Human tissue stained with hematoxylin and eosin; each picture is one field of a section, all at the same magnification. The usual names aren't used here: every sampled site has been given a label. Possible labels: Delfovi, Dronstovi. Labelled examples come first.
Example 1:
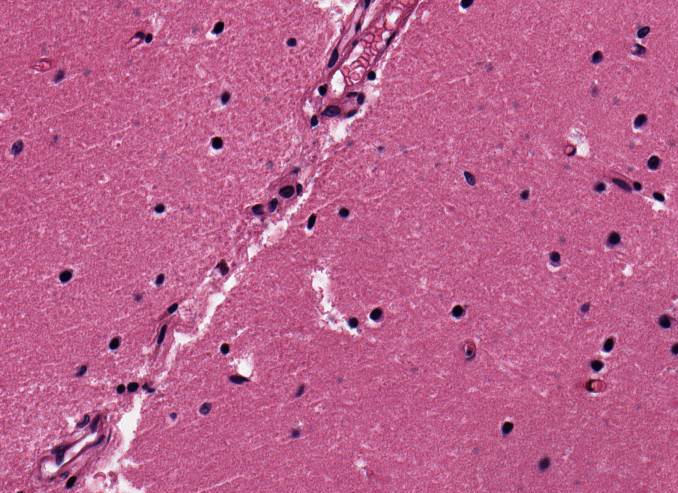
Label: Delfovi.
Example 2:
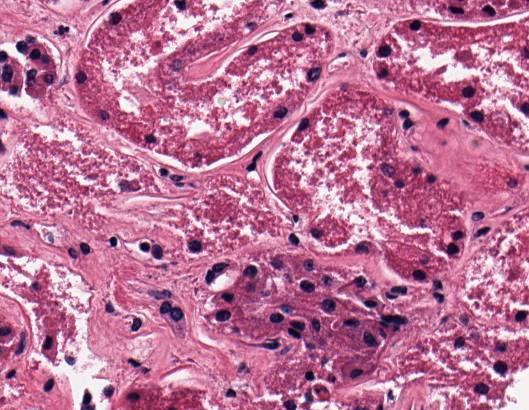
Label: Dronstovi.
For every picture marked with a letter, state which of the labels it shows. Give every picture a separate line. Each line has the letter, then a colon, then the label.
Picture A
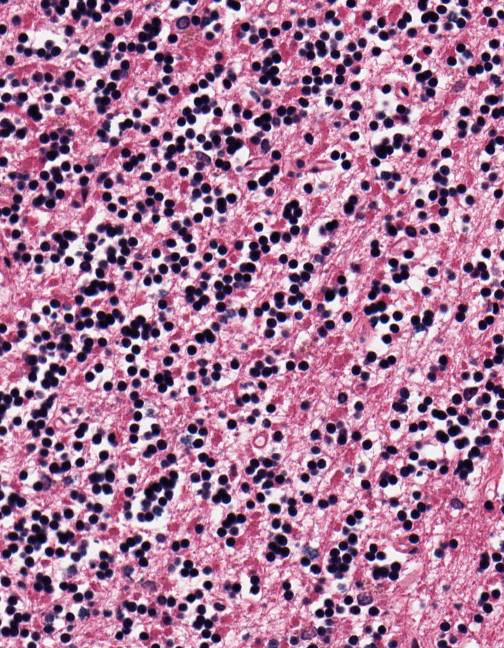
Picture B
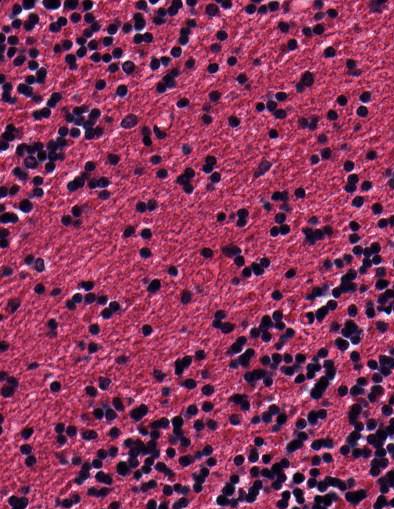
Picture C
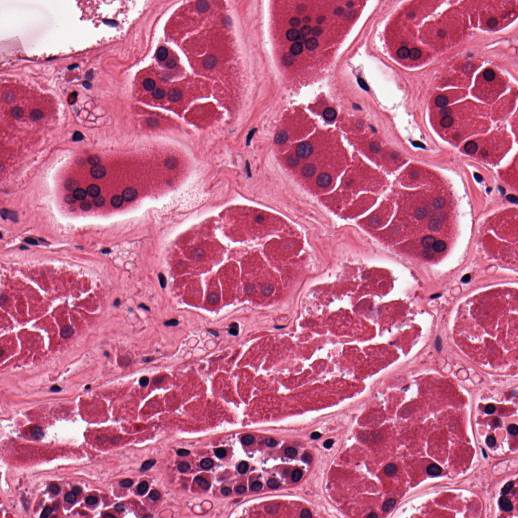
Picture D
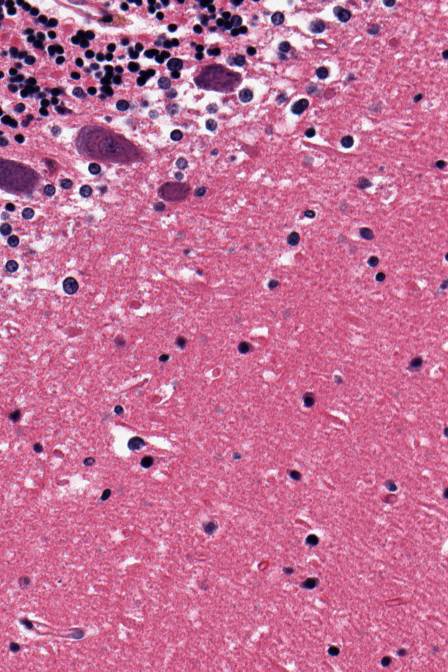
A: Delfovi.
B: Delfovi.
C: Dronstovi.
D: Delfovi.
